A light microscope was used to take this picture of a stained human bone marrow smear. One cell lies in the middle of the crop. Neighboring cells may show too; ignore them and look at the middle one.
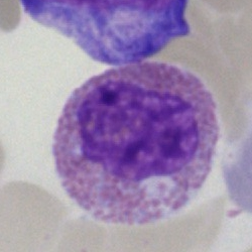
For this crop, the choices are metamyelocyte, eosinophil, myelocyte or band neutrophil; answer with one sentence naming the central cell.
Classified as an eosinophil is the cell in the middle of this crop.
